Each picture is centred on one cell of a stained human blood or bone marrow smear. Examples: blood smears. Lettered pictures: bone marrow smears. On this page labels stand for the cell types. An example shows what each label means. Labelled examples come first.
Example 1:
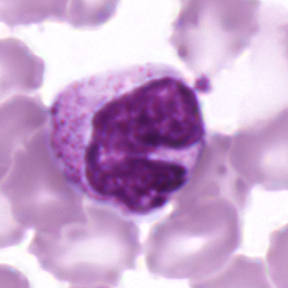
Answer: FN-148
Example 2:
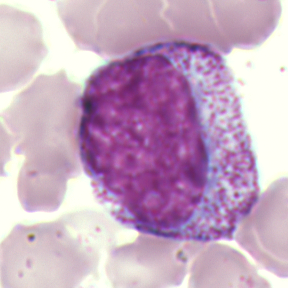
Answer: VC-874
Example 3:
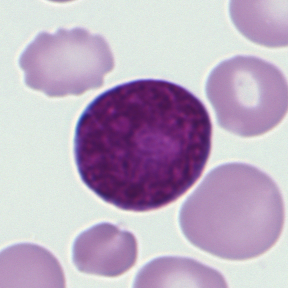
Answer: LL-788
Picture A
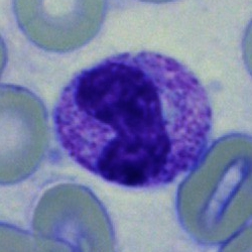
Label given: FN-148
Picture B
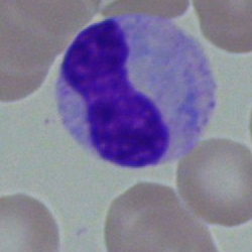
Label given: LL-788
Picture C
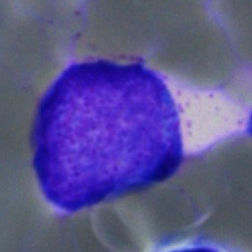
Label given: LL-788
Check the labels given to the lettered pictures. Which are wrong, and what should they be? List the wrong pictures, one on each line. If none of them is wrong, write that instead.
Wrong: B (LL-788); correct: FN-148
